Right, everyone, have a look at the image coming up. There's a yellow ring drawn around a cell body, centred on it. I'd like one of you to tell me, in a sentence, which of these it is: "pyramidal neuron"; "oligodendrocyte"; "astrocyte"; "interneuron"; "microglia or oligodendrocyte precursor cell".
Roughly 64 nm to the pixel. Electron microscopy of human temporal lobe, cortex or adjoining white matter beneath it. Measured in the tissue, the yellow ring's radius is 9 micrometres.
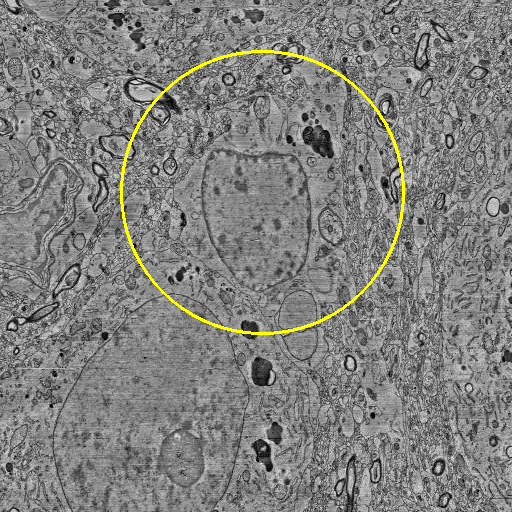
The yellow ring sits on an astrocyte.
